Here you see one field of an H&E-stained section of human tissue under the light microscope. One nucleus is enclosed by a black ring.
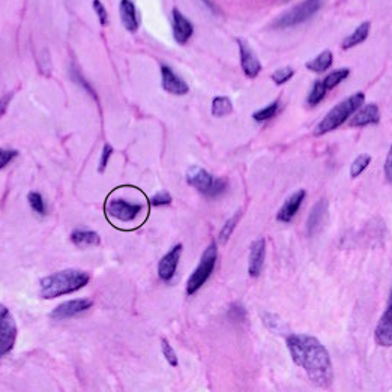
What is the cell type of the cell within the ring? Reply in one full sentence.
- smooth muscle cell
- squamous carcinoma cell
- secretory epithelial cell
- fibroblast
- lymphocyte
With respect to cell type, the cell within the ring is a fibroblast.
